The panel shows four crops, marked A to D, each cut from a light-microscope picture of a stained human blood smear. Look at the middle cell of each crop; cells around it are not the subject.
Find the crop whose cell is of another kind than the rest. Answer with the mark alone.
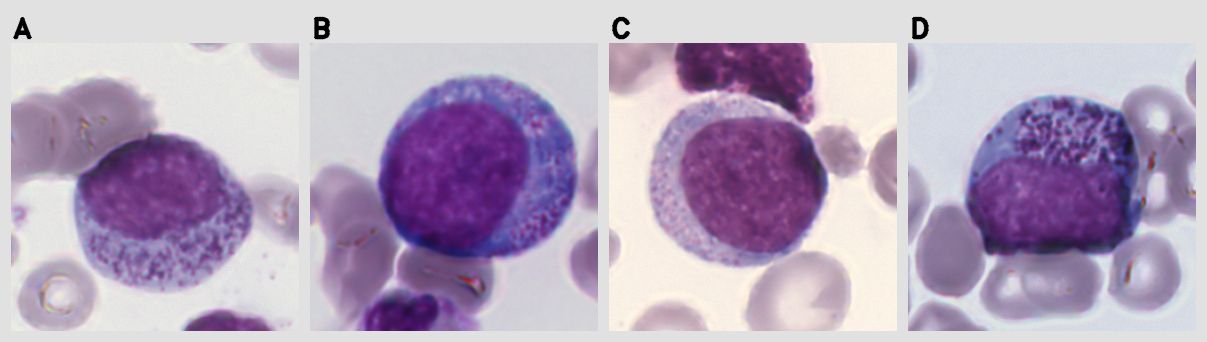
A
